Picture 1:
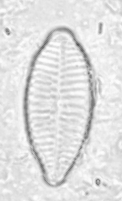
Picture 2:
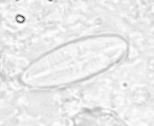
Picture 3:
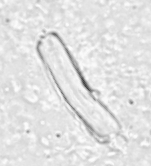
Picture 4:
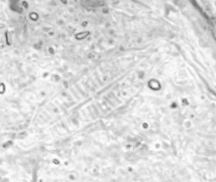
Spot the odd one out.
Picture 1 (Gomphonema among Achnanthidium).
